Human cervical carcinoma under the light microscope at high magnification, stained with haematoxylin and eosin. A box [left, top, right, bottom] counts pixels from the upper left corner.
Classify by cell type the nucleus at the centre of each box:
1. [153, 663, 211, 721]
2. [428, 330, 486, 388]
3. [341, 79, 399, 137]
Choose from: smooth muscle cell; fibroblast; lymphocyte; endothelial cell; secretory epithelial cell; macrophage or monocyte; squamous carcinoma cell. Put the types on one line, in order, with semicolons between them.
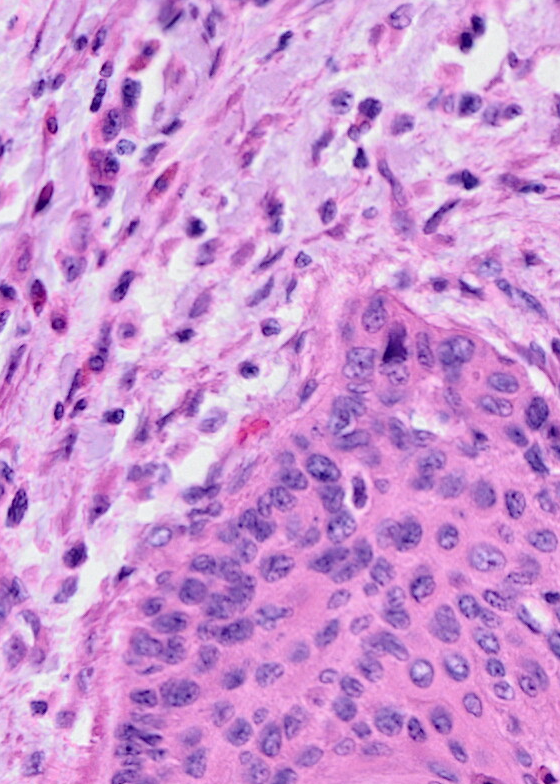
squamous carcinoma cell; squamous carcinoma cell; lymphocyte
